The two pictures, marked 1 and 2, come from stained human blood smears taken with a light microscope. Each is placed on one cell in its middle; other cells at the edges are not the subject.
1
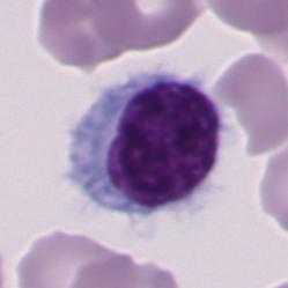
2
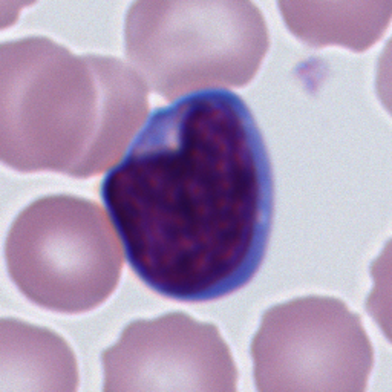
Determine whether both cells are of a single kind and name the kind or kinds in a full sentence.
No, crop 1 corresponds to a hairy cell, while crop 2 corresponds to a typical lymphocyte.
